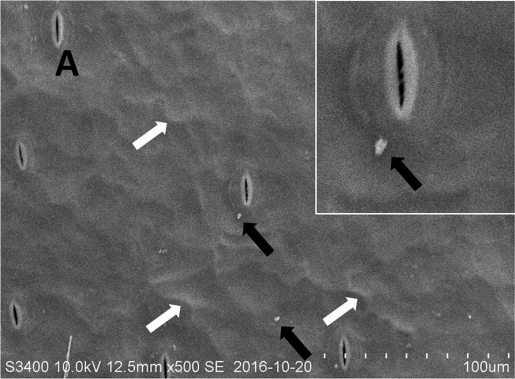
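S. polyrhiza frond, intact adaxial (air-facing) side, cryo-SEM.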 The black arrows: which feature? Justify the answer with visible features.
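Wax crystalloids. A few tiny bright granules lie on the surface. One granule lies beside a pore in the inset.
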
